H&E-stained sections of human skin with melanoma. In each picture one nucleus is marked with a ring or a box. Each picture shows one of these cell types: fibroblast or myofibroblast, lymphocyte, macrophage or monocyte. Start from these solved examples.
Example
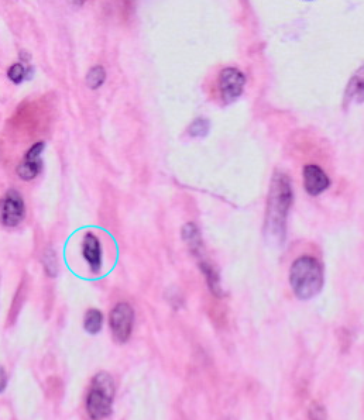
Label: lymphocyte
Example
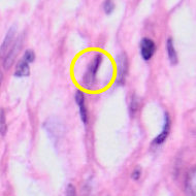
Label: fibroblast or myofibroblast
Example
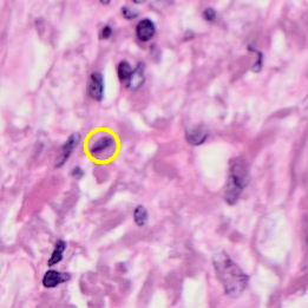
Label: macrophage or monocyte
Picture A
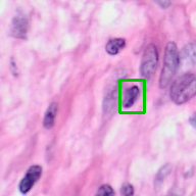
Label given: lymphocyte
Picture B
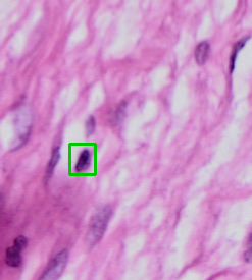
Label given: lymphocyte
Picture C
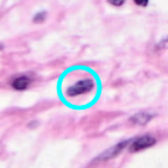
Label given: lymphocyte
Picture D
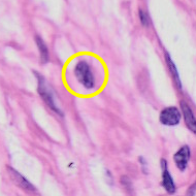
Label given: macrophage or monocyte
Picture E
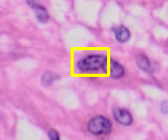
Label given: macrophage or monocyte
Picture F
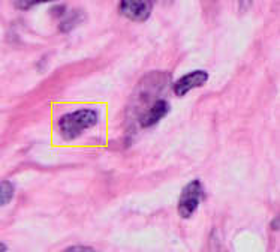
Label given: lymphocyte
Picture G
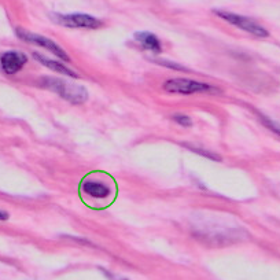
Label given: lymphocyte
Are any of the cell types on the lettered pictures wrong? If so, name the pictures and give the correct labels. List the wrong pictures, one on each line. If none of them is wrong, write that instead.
D: lymphocyte, not macrophage or monocyte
